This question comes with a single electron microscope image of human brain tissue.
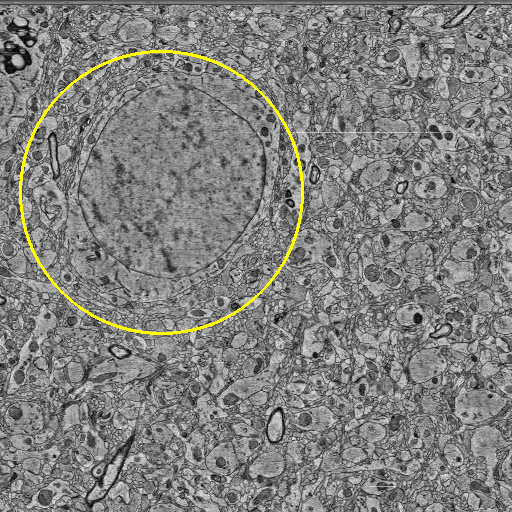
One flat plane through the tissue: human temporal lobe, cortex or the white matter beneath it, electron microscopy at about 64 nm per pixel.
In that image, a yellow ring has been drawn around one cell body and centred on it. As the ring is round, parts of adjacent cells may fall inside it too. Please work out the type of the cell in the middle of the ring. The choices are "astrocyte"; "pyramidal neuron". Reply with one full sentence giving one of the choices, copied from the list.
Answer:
Of the choices, a pyramidal neuron is the cell sitting in the middle of the ring.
